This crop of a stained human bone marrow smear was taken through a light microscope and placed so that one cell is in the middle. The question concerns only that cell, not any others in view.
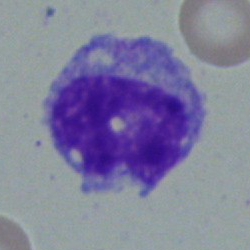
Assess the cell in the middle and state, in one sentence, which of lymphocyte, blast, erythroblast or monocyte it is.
By type, the central cell of the crop is a monocyte.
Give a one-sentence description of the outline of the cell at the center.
The margin of this cell is irregular, showing raggedness or projections instead of smoothness.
